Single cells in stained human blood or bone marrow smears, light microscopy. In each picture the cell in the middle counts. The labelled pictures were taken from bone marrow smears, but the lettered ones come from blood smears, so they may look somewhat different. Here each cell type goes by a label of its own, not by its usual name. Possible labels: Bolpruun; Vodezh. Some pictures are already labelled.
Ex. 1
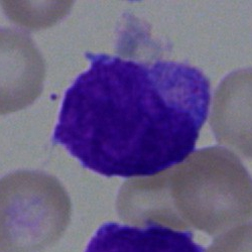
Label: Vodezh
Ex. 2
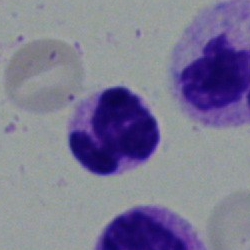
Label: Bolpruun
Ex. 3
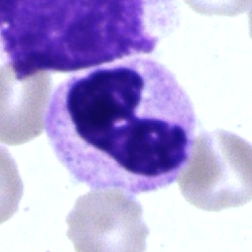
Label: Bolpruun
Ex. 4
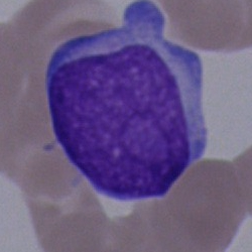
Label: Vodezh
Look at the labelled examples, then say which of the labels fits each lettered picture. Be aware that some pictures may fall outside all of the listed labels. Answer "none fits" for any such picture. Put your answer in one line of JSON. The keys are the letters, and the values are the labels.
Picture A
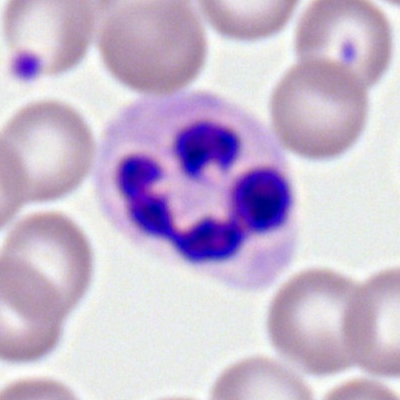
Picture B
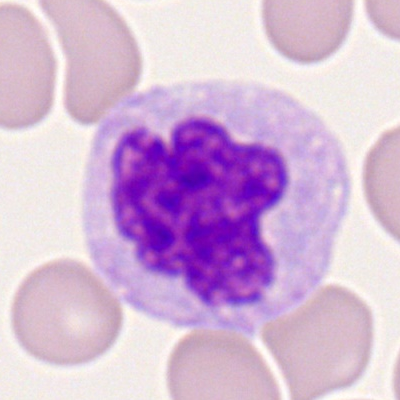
{"A": "Bolpruun", "B": "none fits"}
